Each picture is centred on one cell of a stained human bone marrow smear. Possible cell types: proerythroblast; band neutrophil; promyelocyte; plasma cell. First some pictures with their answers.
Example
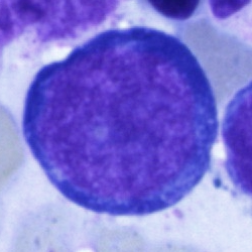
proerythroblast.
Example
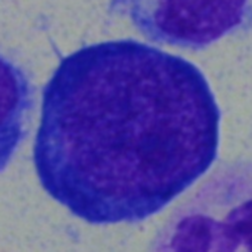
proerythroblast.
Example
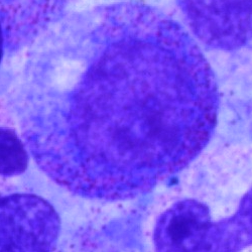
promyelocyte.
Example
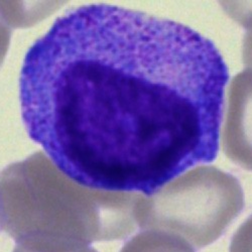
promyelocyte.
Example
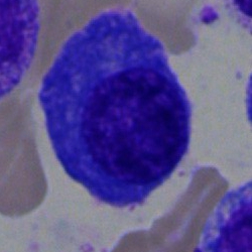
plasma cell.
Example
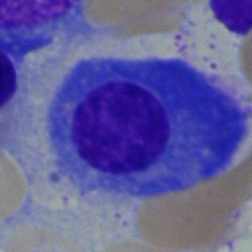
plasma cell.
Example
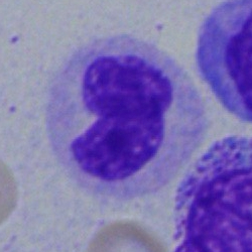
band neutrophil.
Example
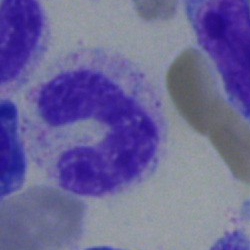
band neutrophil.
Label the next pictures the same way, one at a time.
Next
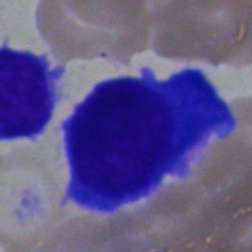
plasma cell.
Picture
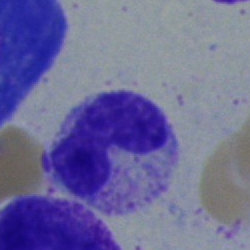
band neutrophil.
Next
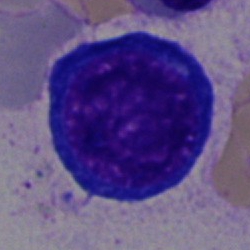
proerythroblast.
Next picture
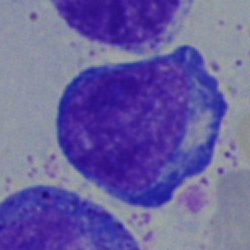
proerythroblast.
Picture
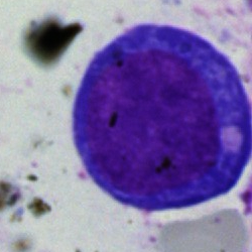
proerythroblast.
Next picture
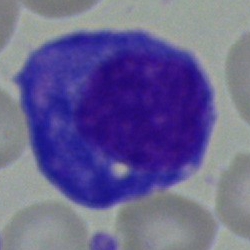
plasma cell.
